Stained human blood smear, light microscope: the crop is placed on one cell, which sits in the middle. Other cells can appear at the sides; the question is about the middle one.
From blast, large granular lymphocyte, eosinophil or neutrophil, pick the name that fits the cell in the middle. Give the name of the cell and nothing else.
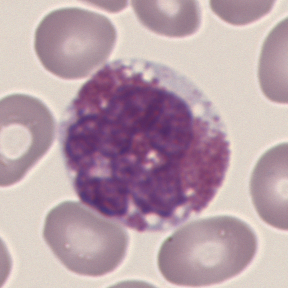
eosinophil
